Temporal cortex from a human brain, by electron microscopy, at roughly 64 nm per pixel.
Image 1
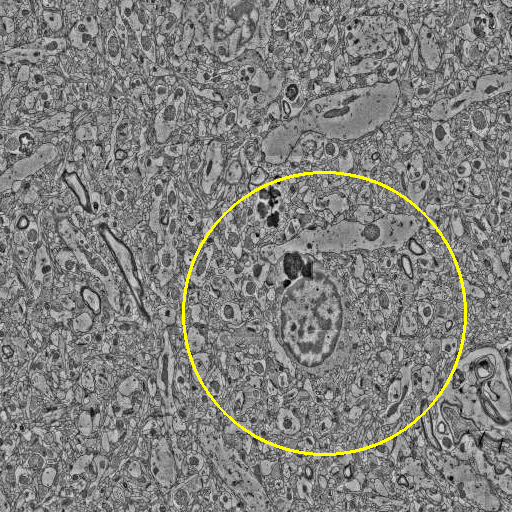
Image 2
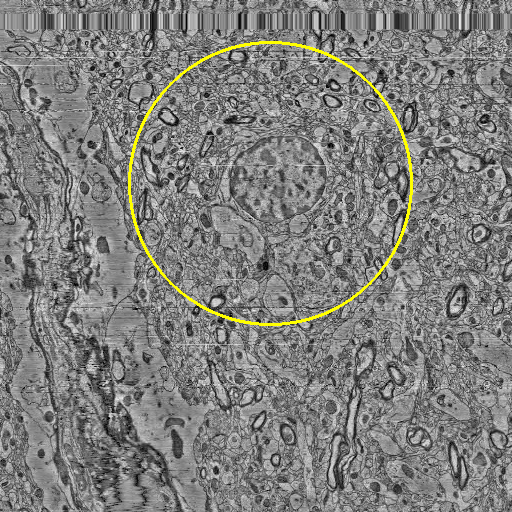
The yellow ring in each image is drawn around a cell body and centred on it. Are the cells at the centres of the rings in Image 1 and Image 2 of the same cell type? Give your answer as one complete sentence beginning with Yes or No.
No, the two cells are of two separate types.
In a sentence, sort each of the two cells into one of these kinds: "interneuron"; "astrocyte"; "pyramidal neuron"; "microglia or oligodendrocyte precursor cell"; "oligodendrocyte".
The first of the two cells is an oligodendrocyte, and the second is a microglial cell or oligodendrocyte precursor cell.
